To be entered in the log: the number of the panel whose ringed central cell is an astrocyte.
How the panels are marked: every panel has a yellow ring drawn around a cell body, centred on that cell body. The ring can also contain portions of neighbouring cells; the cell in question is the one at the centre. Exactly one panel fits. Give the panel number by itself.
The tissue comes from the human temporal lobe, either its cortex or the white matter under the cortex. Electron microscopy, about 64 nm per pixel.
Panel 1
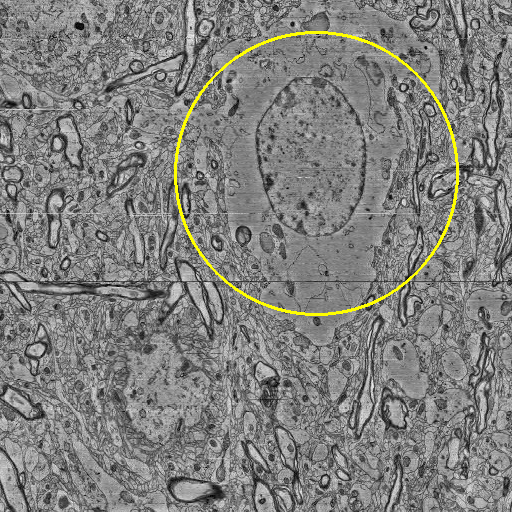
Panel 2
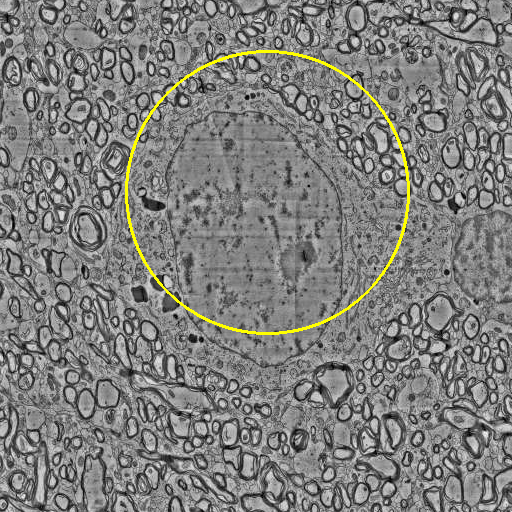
1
